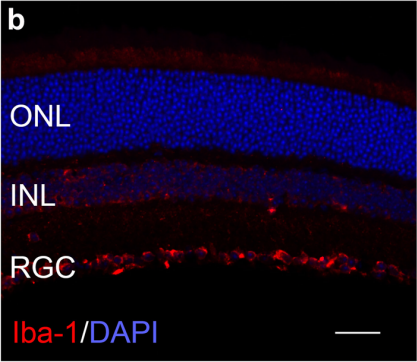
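This is a cross-section of retina showing a broad, evenly packed band of blue nuclei at the top, a thinner band of nuclei in the middle, and a loose row of nuclei along the inner edge. Small red cells with short processes lie mostly along that innermost row, with only faint red in the middle layers and none within the thick outer band of nuclei.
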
